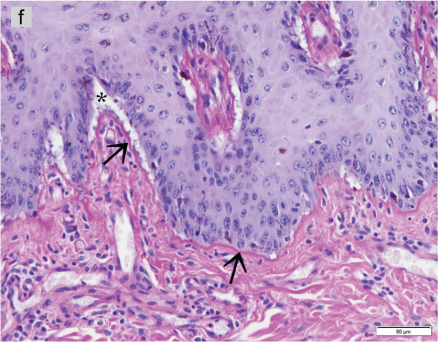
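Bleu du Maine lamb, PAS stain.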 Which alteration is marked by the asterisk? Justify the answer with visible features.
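Subepidermal clefts. A narrow clear space lies next to the asterisk. The space runs between the basal epithelial cells and the underlying connective tissue of a papilla.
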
